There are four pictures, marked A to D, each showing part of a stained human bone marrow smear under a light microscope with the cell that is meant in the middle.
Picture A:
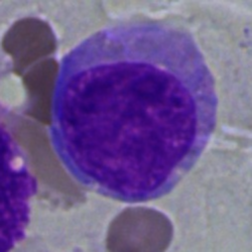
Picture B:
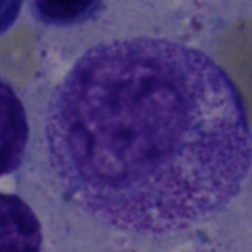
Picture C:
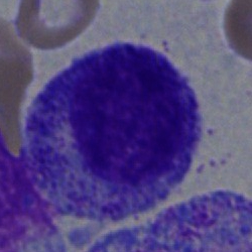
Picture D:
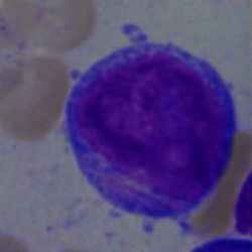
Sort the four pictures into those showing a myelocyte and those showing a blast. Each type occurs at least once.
A: blast
B: myelocyte
C: myelocyte
D: blast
